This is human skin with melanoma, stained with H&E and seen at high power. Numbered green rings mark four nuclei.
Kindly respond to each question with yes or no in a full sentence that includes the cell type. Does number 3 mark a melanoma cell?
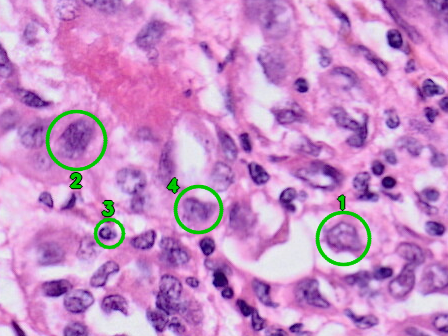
No, cell 3 is to be read as a lymphocyte, not a melanoma cell.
